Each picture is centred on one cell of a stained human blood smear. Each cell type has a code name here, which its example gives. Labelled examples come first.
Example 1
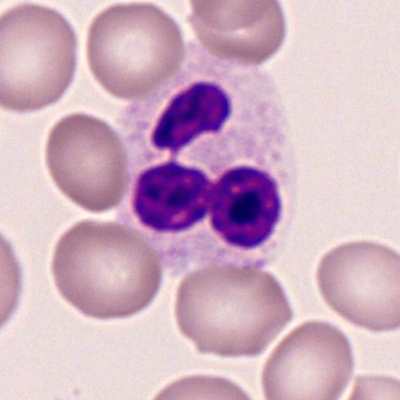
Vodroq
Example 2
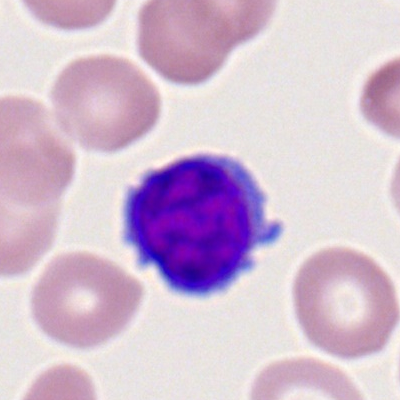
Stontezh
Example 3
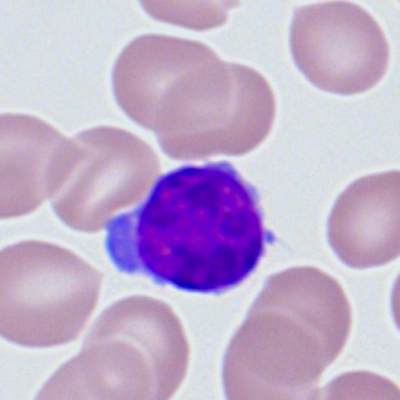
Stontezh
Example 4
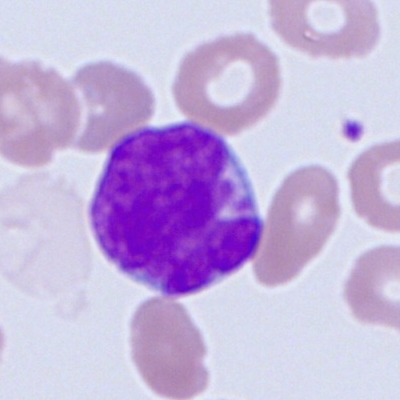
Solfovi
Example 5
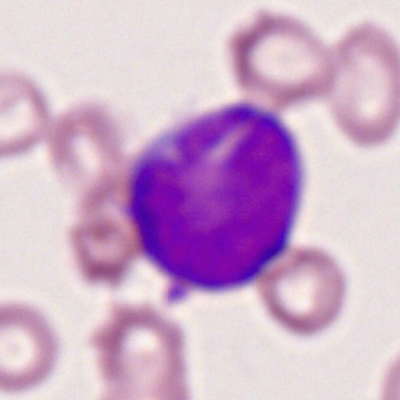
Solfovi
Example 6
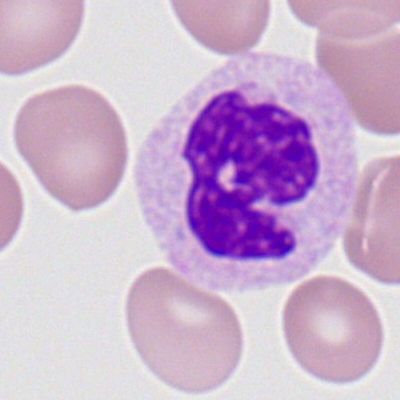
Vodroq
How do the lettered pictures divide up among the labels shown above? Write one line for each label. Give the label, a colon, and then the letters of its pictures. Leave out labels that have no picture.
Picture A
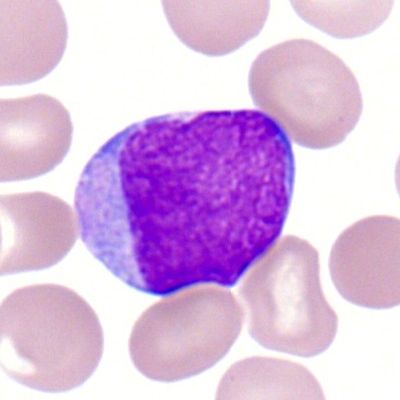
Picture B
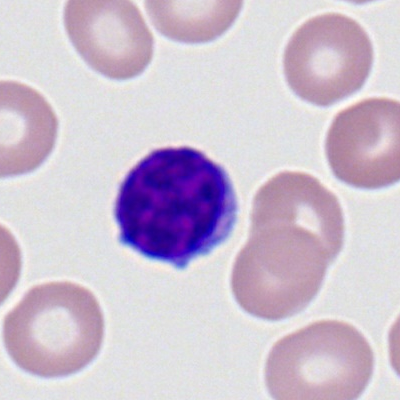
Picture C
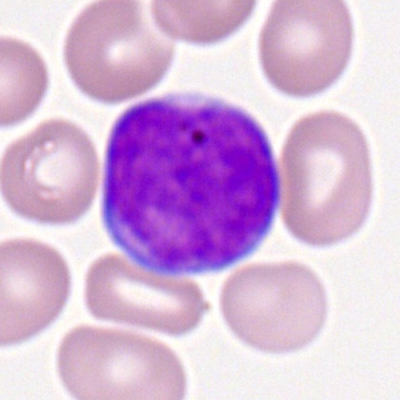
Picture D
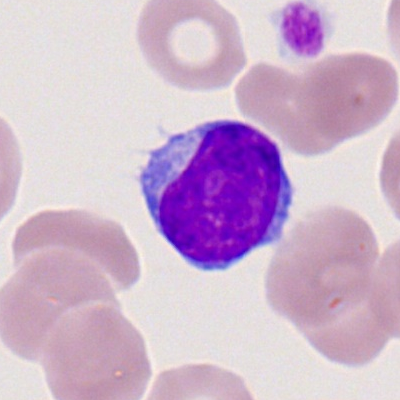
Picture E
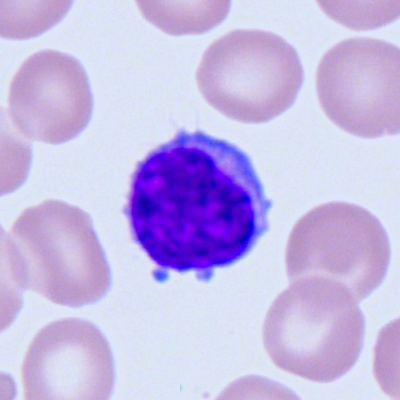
Stontezh: B, D, E
Solfovi: A, C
